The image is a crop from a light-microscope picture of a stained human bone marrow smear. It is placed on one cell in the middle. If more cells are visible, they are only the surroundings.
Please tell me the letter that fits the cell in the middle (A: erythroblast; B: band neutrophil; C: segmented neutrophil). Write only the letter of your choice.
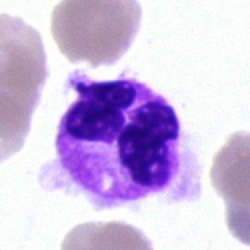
C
